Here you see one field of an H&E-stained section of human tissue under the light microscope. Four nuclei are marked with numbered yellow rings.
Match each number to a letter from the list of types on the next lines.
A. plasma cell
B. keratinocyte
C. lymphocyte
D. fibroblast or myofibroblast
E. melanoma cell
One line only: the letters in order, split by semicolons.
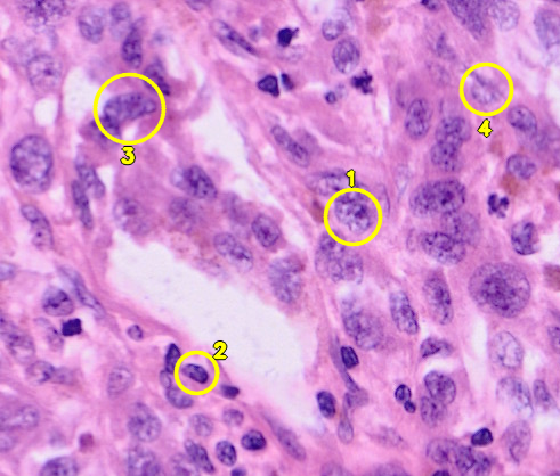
E; C; E; E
